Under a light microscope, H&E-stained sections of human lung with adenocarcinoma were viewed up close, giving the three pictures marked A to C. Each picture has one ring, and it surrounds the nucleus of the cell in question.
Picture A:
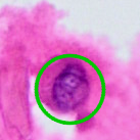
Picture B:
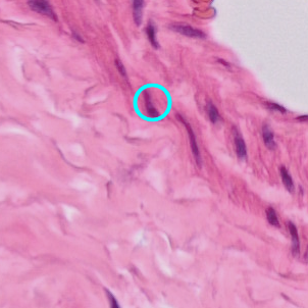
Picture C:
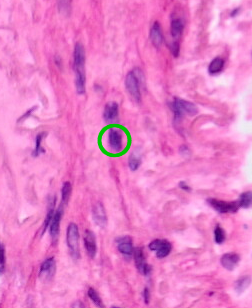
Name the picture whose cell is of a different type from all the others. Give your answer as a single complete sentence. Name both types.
Unlike the rest, which show “smooth muscle cells or pericytes”, picture A shows a carcinoma cell.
